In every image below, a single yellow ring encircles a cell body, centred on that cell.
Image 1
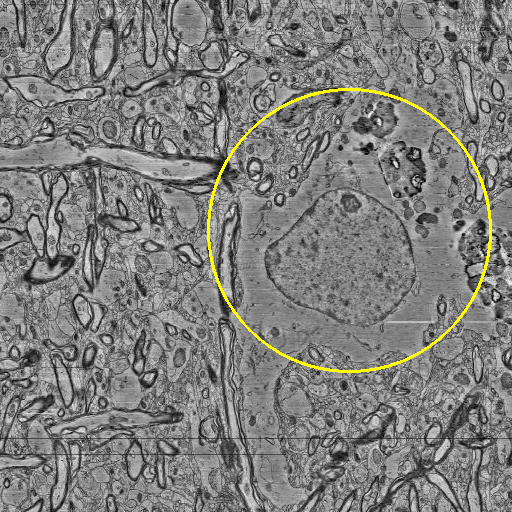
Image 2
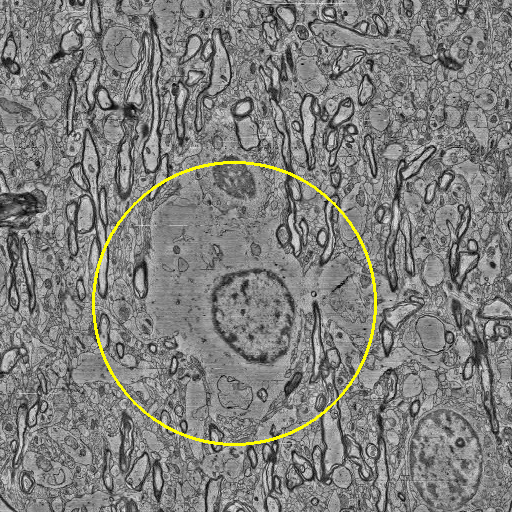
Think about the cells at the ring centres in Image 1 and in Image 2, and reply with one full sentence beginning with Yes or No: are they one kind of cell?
Yes, the cells centred in the rings of Image 1 and Image 2 are one kind of cell.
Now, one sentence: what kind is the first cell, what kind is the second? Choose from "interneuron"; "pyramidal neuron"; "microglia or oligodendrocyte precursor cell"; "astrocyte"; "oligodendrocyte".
Each cell, in the first picture and the second, is an astrocyte.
